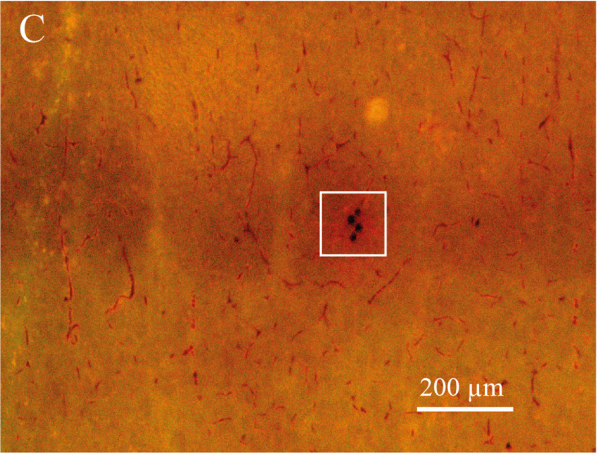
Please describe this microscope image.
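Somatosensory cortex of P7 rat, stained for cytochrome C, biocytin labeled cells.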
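Cortical tissue in orange-yellow tones shows broad darker and lighter zones lying side by side. Within a darker zone a tight group of four small black cell bodies is enclosed by a white square. Thin red-brown elongated profiles are scattered across the whole field.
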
